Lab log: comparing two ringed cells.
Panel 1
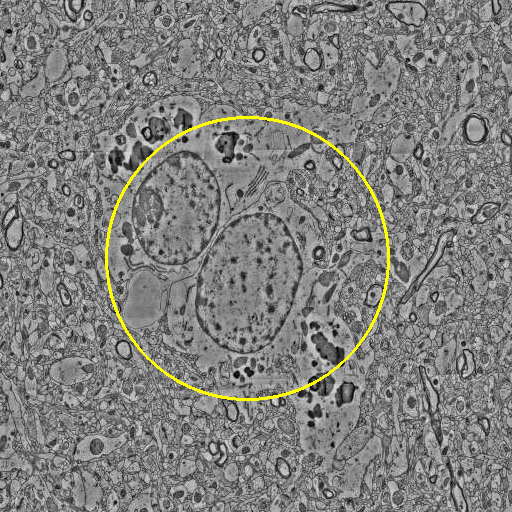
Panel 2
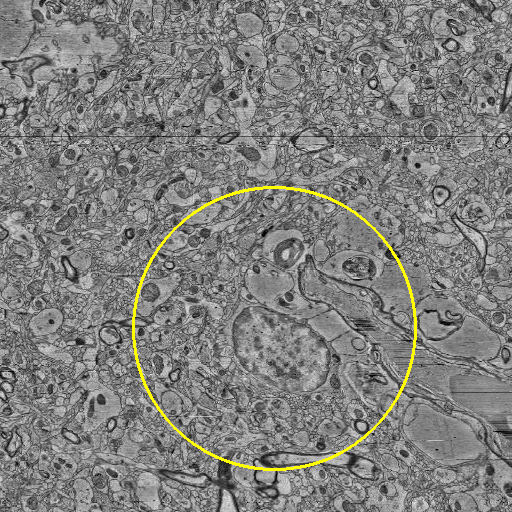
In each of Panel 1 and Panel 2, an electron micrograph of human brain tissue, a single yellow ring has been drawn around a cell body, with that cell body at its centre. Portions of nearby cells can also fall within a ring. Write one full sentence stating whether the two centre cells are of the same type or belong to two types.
The cells at the ring centres in Panel 1 and Panel 2 belong to two types.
